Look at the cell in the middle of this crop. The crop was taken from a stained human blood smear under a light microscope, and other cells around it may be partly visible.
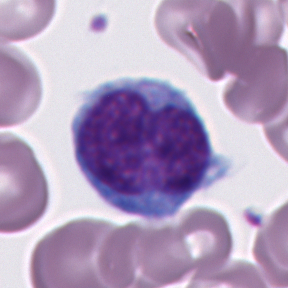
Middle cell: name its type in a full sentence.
The central element of this crop is a cell, namely a monocyte.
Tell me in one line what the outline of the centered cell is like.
Instead of a smooth edge, this cell has an irregular one, ragged or with projections.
